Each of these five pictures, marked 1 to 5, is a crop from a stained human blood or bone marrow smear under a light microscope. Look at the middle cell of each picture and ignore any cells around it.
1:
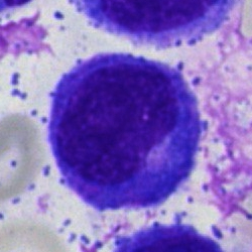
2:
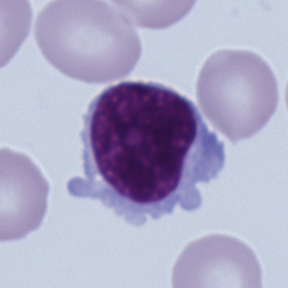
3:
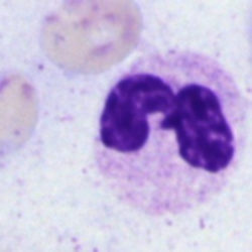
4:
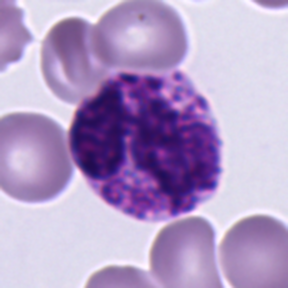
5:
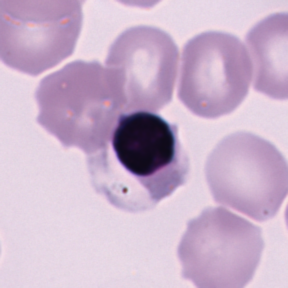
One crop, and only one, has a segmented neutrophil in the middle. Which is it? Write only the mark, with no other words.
3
